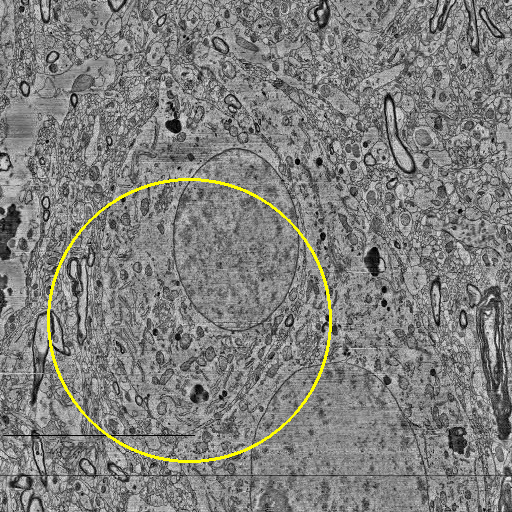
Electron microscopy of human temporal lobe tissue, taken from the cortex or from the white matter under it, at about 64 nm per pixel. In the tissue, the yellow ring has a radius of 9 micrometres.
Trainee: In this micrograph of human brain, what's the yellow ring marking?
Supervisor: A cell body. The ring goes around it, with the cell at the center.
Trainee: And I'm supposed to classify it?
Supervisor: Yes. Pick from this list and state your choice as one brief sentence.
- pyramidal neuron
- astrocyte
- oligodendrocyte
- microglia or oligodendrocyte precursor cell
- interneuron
The cell at the ring's center is an interneuron.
